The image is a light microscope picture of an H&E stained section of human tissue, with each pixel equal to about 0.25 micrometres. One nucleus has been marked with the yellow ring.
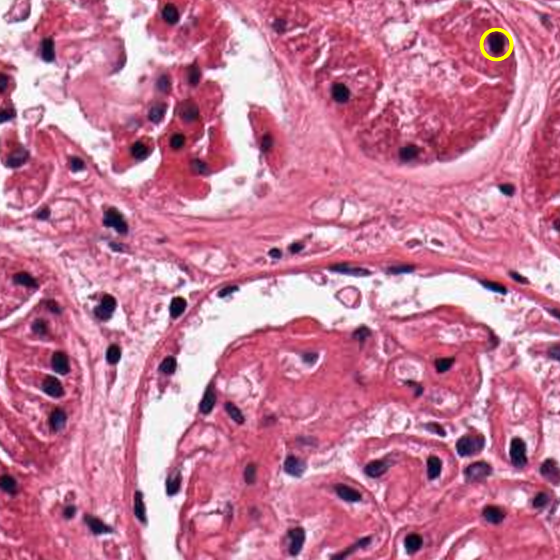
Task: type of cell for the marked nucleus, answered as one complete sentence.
It is a proximal tubule cell whose nucleus is marked.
